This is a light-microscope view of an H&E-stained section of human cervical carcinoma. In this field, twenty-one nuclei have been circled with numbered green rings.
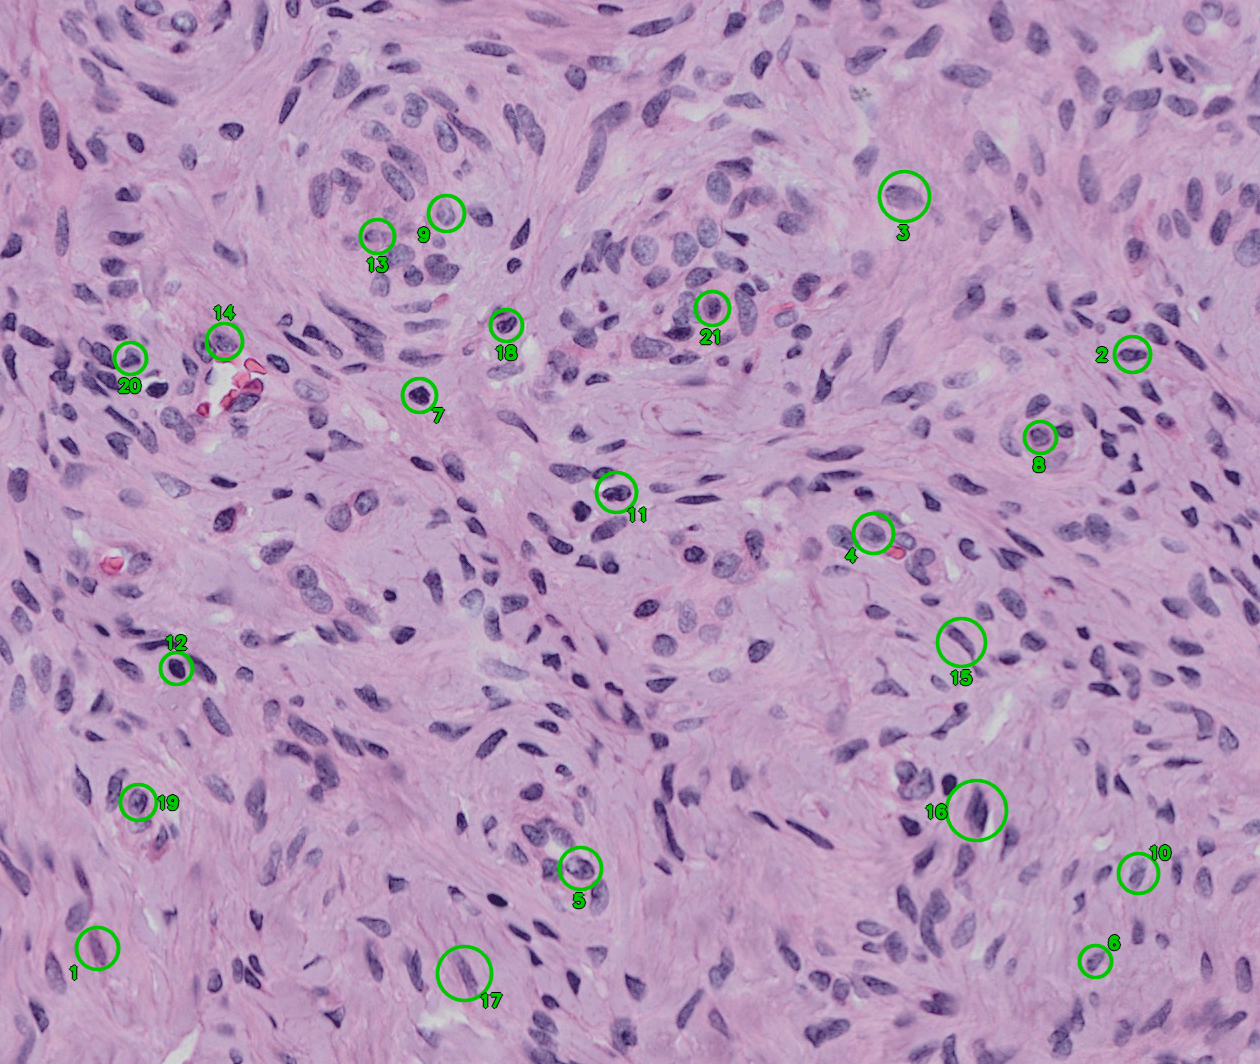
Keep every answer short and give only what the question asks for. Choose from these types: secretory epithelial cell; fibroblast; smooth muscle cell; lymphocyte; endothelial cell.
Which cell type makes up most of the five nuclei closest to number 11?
fibroblast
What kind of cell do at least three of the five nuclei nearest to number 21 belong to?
smooth muscle cell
